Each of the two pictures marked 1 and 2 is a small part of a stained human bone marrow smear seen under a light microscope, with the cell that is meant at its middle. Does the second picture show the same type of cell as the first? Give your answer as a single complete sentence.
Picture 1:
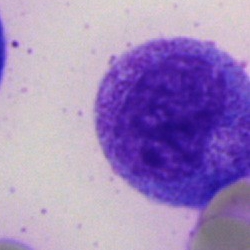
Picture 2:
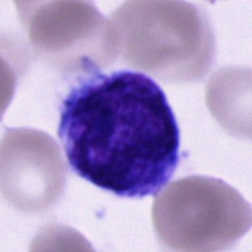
No, they differ: the cell is a myelocyte in picture 1 and a blast in picture 2.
